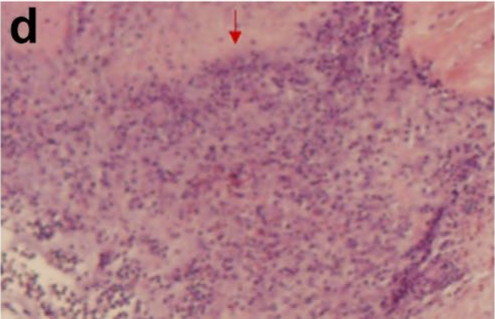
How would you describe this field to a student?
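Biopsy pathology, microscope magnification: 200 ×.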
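The cells are packed closely in a broad aggregate, with paler pink tissue and looser areas around it. Toward the lower edge the cells are more scattered and a streak of denser purple cells runs obliquely.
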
